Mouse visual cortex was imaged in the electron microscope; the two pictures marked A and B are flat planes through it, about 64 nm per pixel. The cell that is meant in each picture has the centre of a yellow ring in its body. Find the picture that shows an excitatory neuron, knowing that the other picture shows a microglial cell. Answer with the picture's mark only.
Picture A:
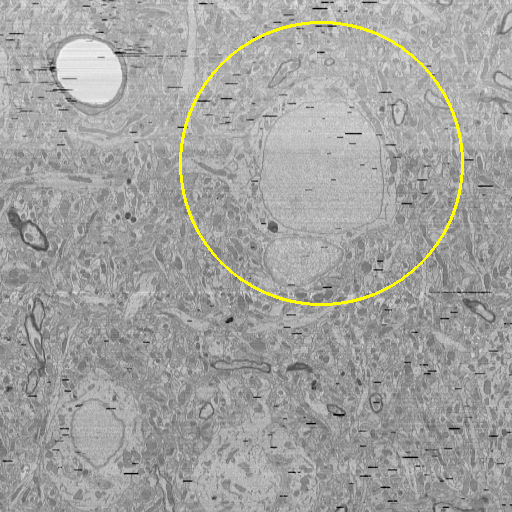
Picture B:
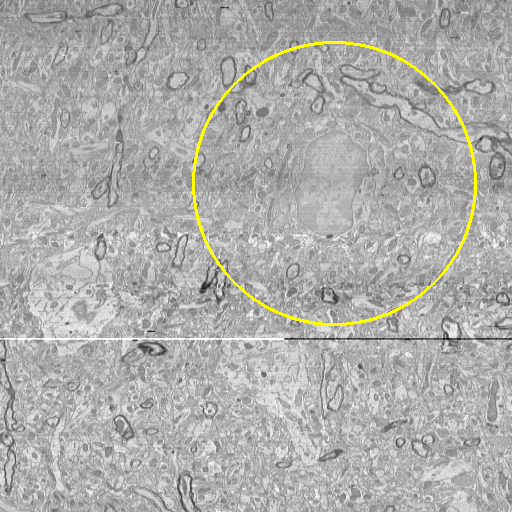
A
